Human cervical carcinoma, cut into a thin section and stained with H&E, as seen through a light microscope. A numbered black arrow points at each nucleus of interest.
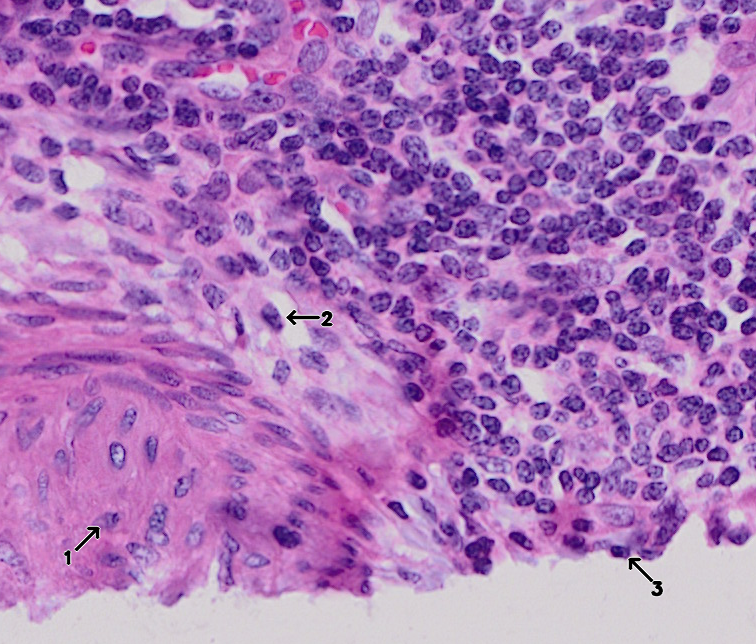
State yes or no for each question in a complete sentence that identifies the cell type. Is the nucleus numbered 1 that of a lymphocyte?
No, a lymphocyte is not what cell 1 is; it is a smooth muscle cell.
